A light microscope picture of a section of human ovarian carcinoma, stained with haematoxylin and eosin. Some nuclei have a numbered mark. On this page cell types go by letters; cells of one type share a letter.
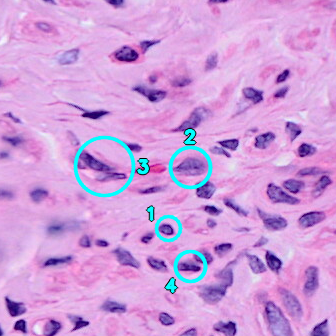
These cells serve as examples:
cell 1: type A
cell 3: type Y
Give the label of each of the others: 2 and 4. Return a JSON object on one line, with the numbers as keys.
{"2": "type Y", "4": "type A"}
